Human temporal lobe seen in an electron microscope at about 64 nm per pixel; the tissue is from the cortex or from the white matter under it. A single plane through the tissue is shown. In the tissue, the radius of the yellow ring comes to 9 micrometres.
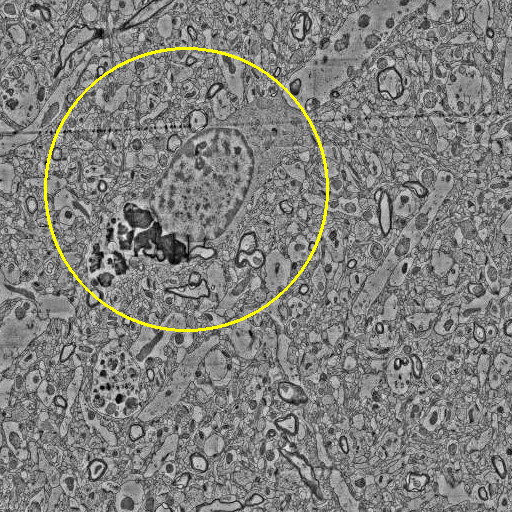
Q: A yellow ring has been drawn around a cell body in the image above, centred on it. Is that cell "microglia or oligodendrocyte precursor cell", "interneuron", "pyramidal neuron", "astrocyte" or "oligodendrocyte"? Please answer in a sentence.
The ring surrounds the cell body of an oligodendrocyte.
